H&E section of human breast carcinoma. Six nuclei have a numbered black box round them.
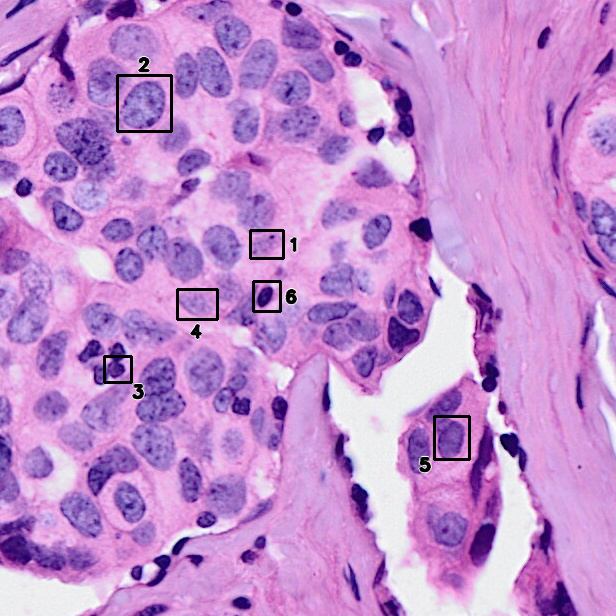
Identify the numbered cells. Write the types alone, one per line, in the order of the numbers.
carcinoma cell
carcinoma cell
lymphocyte
carcinoma cell
carcinoma cell
lymphocyte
